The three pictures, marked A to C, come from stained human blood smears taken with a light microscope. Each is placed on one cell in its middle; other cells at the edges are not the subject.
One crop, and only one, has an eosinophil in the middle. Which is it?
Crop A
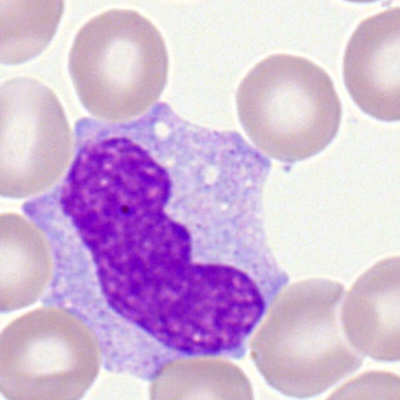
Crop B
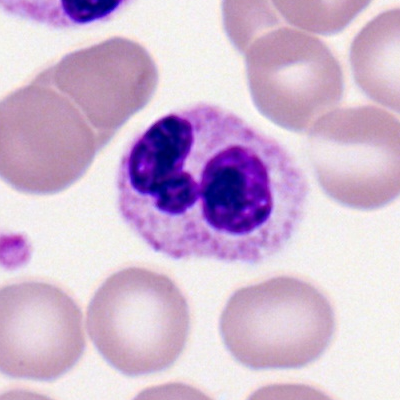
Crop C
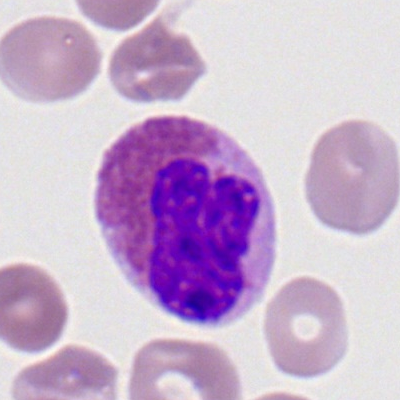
C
